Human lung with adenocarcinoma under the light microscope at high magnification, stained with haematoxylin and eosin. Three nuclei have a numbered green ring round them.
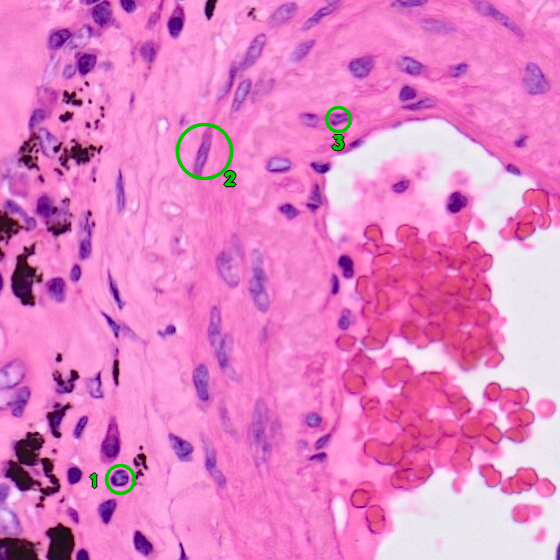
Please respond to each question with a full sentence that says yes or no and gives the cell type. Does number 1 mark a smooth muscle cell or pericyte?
No, it is a mast cell, rather than a smooth muscle cell or pericyte, that carries number 1.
